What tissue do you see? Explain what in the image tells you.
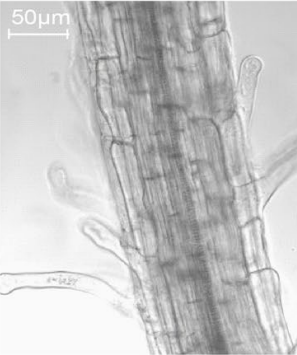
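A cylindrical organ made of elongated cells in longitudinal files. Tubular hair-like outgrowths with rounded tips extend from the surface cells. A darker central core runs along the axis.
Answer: roots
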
